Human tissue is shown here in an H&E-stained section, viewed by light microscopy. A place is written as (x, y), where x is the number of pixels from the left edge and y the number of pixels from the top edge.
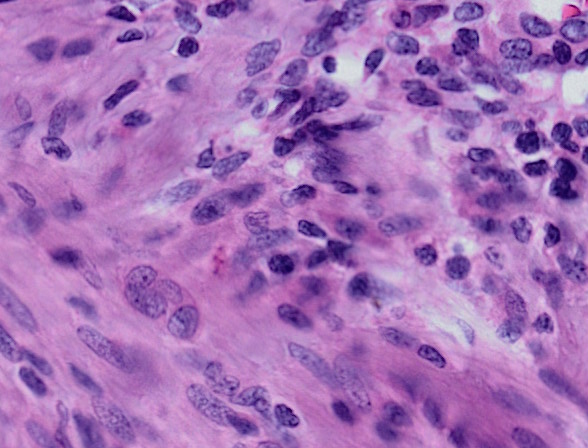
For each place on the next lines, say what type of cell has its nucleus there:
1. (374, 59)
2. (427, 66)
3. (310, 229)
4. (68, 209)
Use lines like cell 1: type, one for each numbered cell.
cell 1: lymphocyte
cell 2: lymphocyte
cell 3: lymphocyte
cell 4: fibroblast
